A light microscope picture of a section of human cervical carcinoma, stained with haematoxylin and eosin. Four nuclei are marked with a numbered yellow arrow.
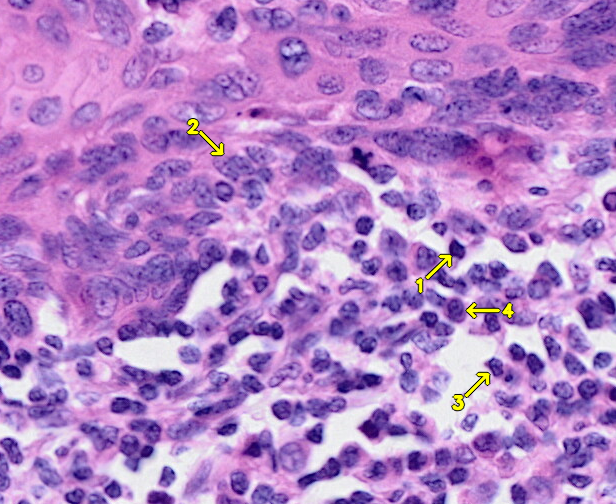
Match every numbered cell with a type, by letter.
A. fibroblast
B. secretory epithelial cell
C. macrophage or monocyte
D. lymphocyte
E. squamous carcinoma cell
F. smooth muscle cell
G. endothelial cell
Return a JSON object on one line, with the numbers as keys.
{"1": "D", "2": "E", "3": "D", "4": "D"}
